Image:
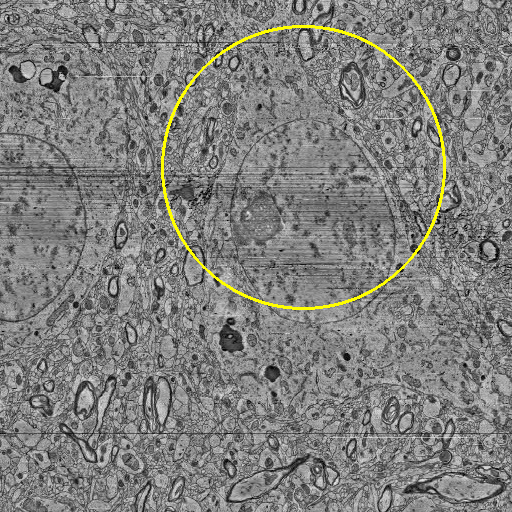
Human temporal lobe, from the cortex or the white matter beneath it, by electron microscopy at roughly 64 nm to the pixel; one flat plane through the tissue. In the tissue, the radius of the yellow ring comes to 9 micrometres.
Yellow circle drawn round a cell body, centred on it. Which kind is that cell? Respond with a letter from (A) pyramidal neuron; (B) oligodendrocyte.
A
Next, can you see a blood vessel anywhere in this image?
No, no blood vessel can be seen.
